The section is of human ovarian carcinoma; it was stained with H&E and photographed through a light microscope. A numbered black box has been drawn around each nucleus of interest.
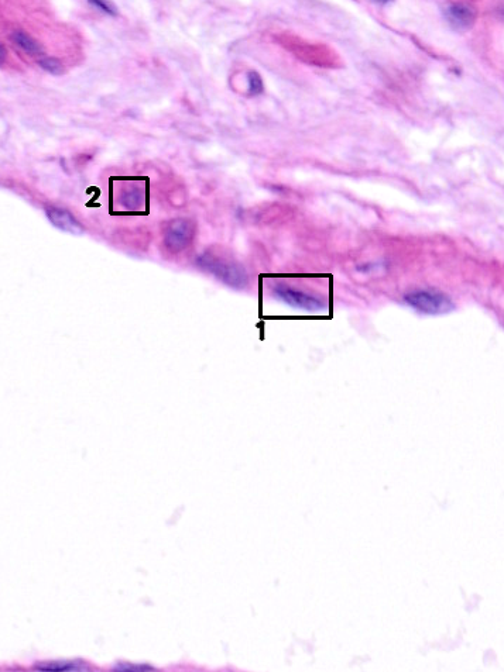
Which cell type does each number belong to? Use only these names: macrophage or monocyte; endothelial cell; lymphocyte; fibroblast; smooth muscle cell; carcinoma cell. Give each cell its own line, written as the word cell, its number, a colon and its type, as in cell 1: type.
cell 1: endothelial cell
cell 2: smooth muscle cell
